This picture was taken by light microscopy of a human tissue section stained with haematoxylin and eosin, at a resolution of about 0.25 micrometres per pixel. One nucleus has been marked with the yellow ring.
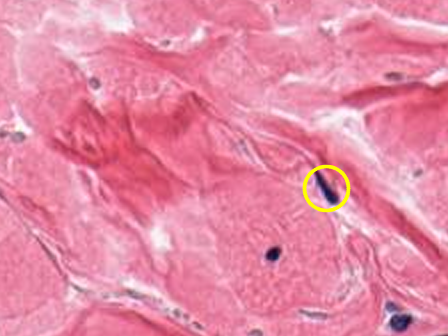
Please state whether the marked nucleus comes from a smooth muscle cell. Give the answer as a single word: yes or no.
no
